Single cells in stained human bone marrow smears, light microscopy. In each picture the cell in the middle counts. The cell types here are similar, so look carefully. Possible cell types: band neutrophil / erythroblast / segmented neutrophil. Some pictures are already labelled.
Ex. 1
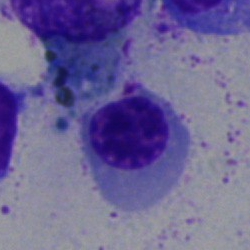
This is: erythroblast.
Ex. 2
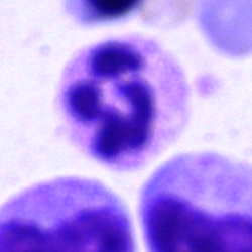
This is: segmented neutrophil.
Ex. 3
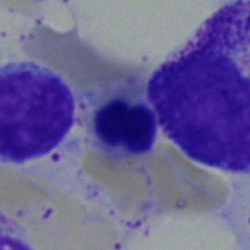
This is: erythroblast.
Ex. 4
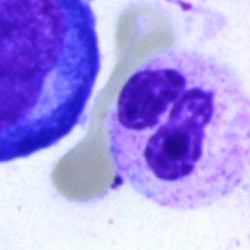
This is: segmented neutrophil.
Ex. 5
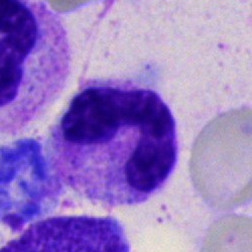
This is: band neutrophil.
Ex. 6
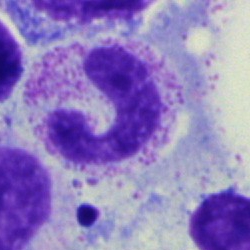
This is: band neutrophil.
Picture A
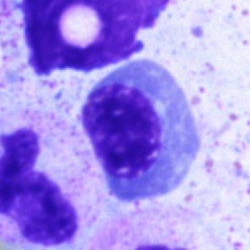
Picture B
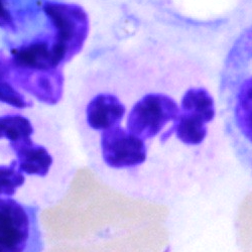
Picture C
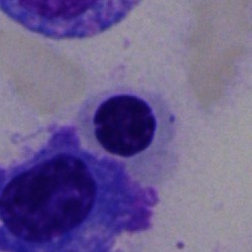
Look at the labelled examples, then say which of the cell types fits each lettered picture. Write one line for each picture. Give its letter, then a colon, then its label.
A: erythroblast.
B: segmented neutrophil.
C: erythroblast.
